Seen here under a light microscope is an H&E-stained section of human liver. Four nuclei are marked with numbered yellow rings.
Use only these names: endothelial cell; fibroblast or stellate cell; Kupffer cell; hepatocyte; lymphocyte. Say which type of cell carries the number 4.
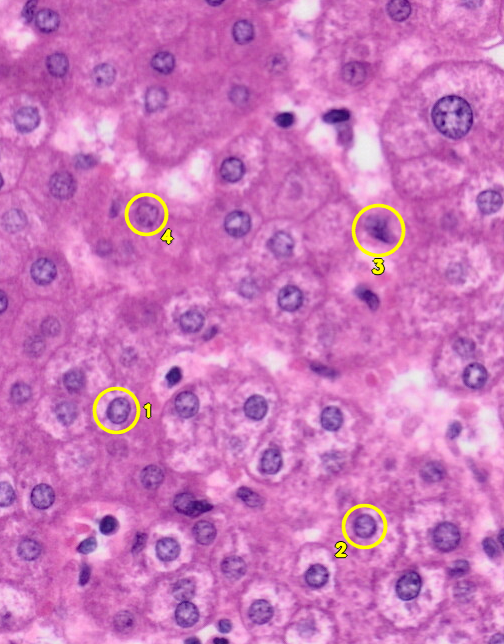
hepatocyte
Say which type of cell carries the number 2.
hepatocyte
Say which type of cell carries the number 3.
endothelial cell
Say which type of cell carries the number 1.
hepatocyte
